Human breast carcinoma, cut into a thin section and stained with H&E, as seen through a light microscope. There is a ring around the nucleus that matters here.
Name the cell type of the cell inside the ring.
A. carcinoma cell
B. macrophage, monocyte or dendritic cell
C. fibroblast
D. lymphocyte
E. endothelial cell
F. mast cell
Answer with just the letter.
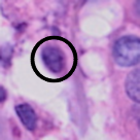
B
